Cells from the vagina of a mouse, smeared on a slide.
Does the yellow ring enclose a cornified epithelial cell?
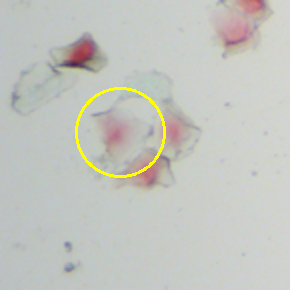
No. The ring encloses a nucleated epithelial cell.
